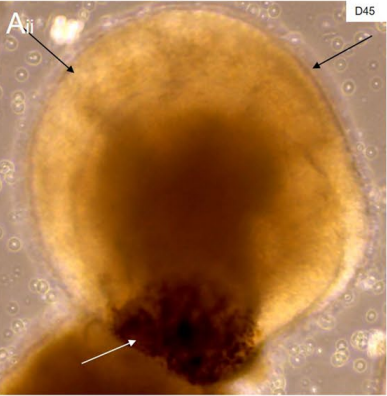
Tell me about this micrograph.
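Whole organoid in transmitted light, showing a rim of neural retina and a cluster of pigmented cells. The organoid is round to oval, with a dense brownish core. A paler, translucent band of tissue forms a continuous rim along the outer margin; this is the neural retina. At the lower pole sits a compact, irregular dark brown-black mass of pigmented cells, sharply set off from the lighter tissue around it. Single cells cannot be made out at this magnification. Small round particles lie scattered in the surrounding medium.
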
